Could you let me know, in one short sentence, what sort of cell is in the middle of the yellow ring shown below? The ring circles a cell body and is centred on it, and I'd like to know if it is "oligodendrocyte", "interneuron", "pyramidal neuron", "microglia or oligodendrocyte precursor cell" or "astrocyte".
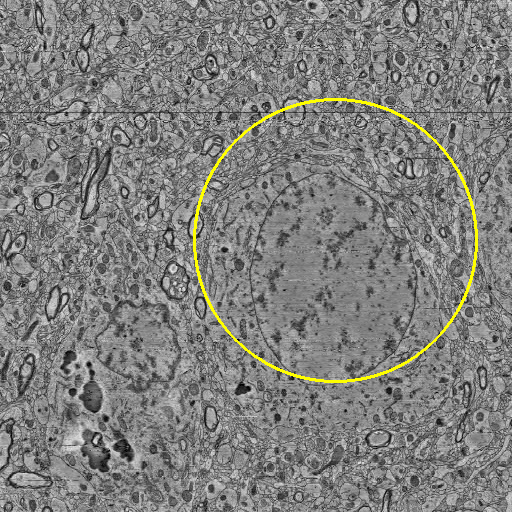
The ring circles the cell body of a pyramidal neuron.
